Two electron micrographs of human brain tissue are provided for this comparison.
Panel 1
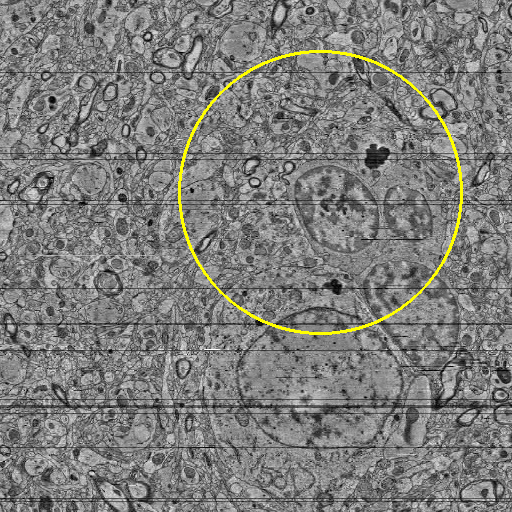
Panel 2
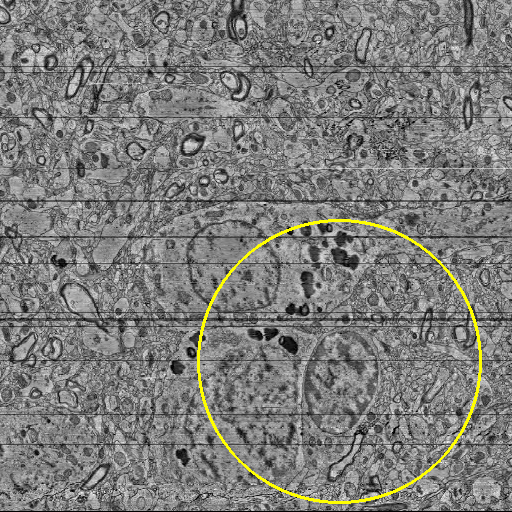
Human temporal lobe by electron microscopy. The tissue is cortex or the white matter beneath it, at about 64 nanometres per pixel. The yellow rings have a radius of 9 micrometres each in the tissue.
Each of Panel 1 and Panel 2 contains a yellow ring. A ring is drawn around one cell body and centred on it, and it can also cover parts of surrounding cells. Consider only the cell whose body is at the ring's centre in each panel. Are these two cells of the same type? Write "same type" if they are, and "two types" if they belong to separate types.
same type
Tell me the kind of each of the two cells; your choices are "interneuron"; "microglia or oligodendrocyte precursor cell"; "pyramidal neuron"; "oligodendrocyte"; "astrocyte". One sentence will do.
The cell at the ring centre is an oligodendrocyte in both pictures.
